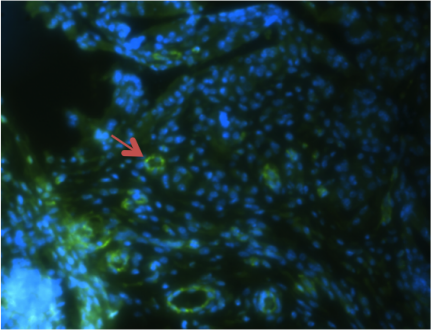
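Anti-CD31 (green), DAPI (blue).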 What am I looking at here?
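Most rings enclose narrow lumens, and they are much smaller than the surrounding tissue spaces. The nuclei are small, oval to elongated, and fill most of the field. At the lower left, a bright blue diffuse area is visible, and at the upper left there is a dark region without tissue. Faint green signal appears in the tissue between the rings.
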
